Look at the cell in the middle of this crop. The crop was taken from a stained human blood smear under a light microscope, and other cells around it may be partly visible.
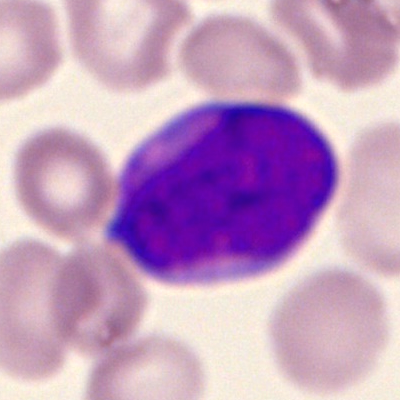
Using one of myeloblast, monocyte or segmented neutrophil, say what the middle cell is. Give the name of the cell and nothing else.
myeloblast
